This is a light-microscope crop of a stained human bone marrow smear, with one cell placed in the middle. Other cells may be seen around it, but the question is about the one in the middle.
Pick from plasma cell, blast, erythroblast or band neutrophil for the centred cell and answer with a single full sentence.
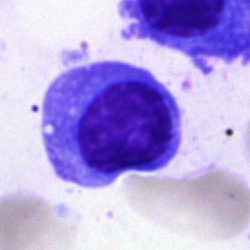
This crop is built around a plasma cell at its centre.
